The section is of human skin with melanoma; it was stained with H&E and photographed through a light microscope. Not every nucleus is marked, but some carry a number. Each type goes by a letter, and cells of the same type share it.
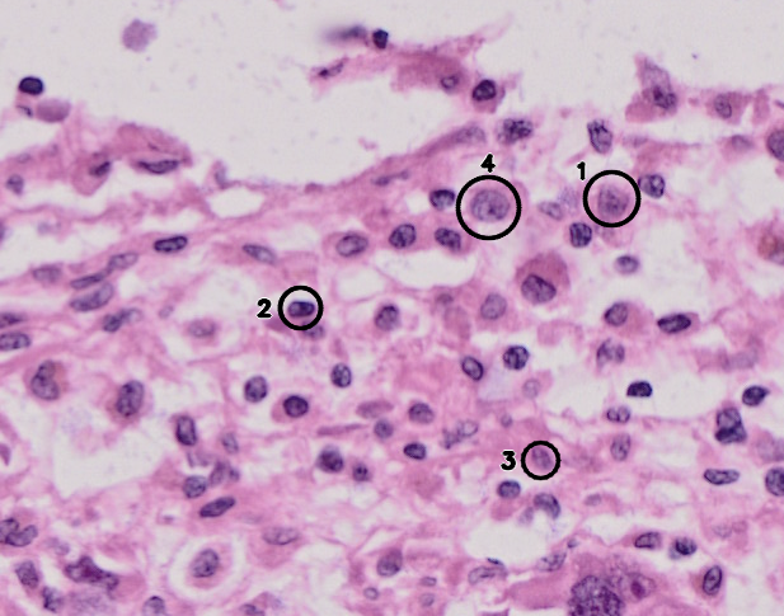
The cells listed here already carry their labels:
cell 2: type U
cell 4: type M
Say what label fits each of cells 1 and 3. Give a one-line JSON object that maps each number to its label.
{"1": "type M", "3": "type M"}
